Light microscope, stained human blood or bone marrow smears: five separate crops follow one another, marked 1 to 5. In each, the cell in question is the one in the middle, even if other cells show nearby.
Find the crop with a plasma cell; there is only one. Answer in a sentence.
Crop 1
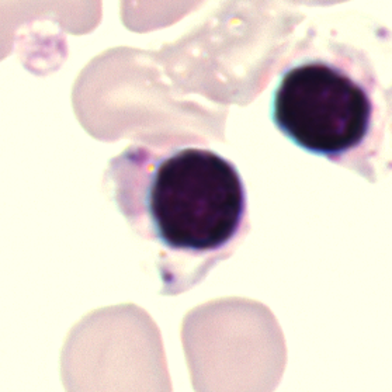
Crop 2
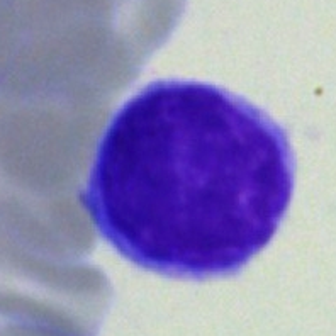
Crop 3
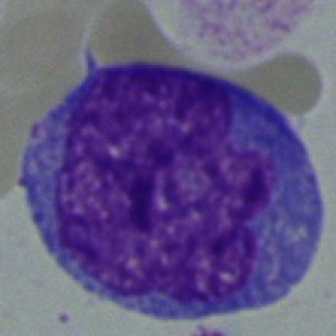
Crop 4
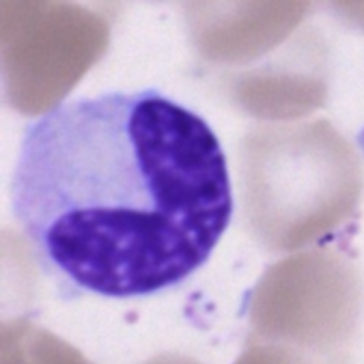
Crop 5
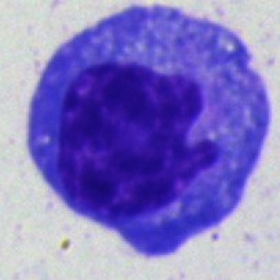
The sole crop showing a plasma cell is crop 5.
